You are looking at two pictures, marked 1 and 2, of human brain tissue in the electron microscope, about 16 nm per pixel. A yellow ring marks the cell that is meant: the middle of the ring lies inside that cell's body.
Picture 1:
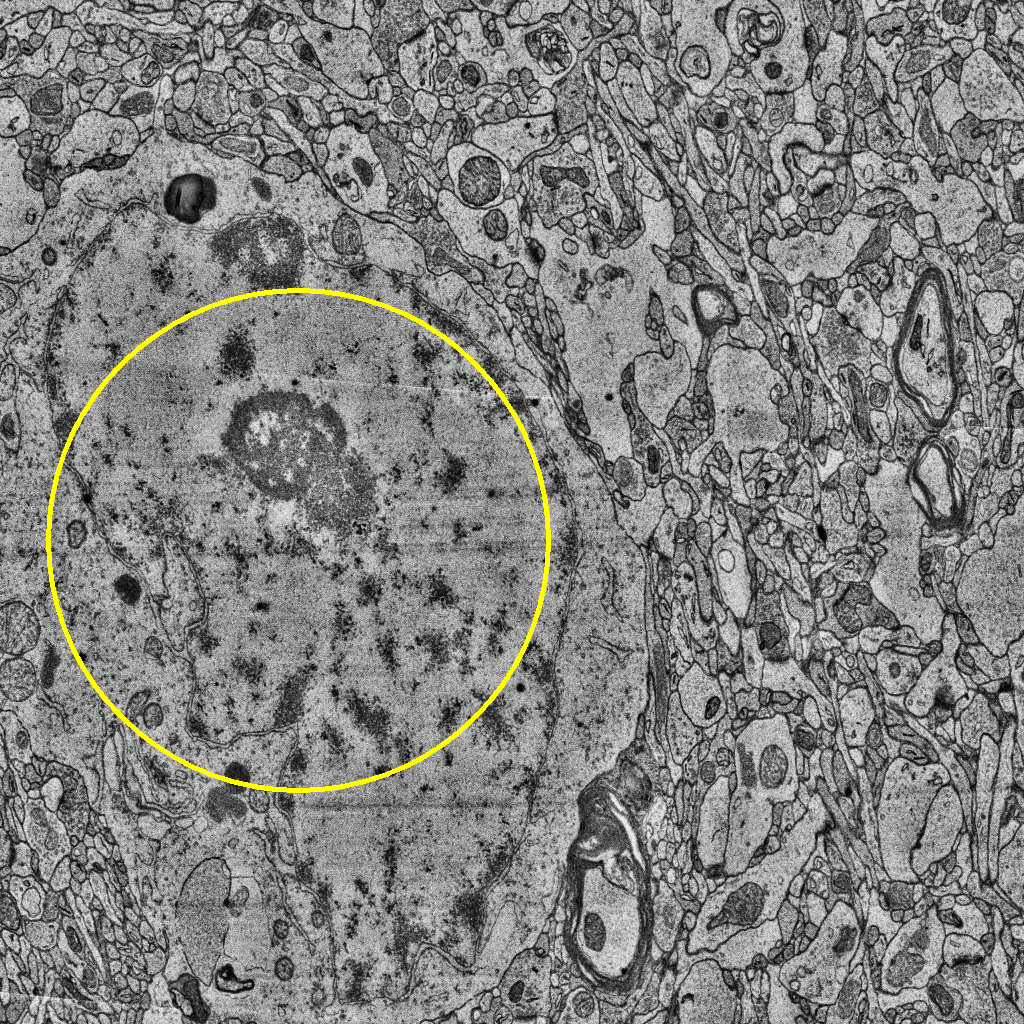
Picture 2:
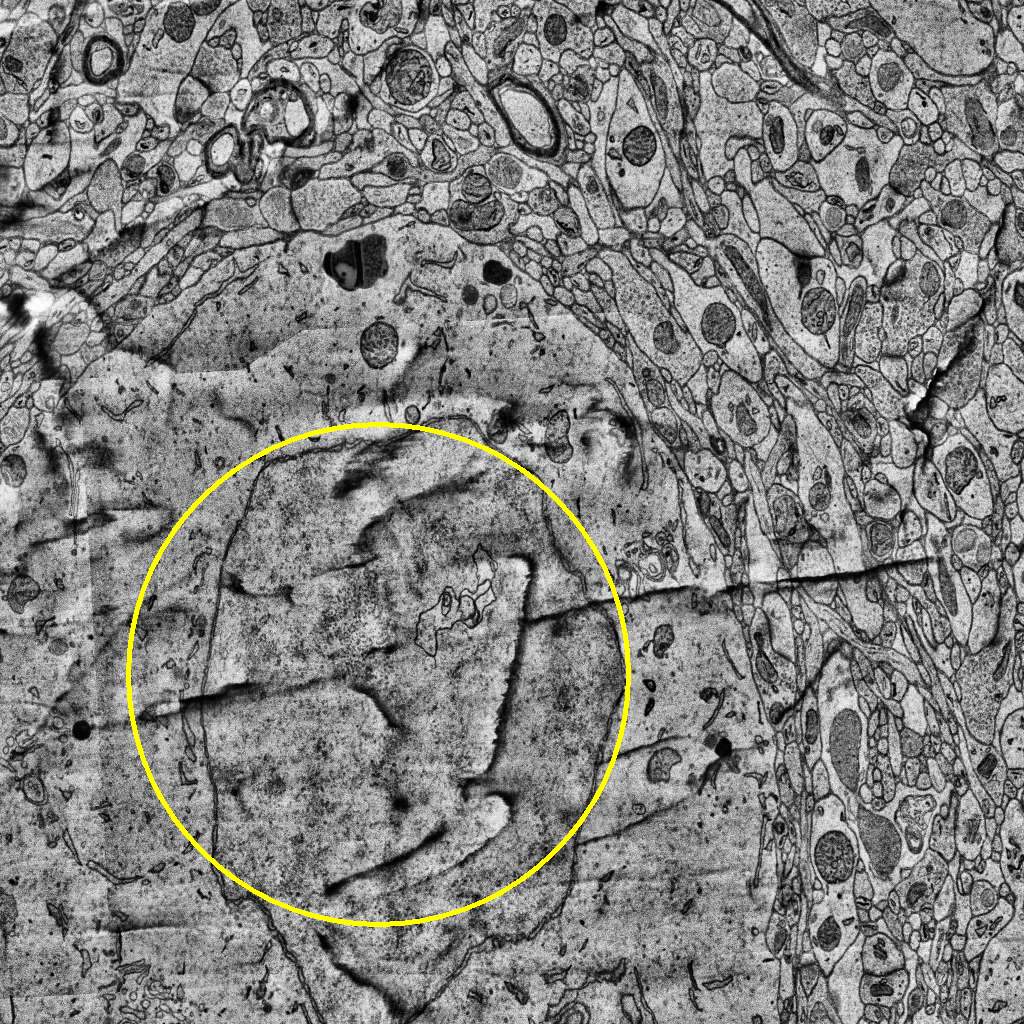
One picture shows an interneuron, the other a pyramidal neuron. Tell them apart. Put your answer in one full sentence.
Picture 2 shows a pyramidal neuron, while picture 1 shows an interneuron.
